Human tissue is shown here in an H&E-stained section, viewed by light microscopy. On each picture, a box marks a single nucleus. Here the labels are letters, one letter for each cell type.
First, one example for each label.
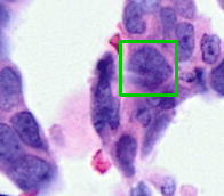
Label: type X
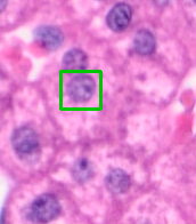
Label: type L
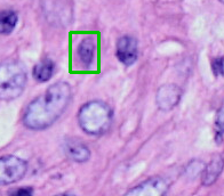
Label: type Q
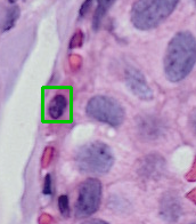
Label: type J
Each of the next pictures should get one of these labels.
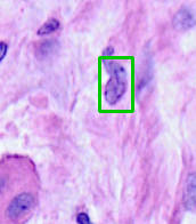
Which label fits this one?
type Q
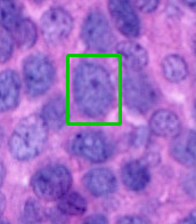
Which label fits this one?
type X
